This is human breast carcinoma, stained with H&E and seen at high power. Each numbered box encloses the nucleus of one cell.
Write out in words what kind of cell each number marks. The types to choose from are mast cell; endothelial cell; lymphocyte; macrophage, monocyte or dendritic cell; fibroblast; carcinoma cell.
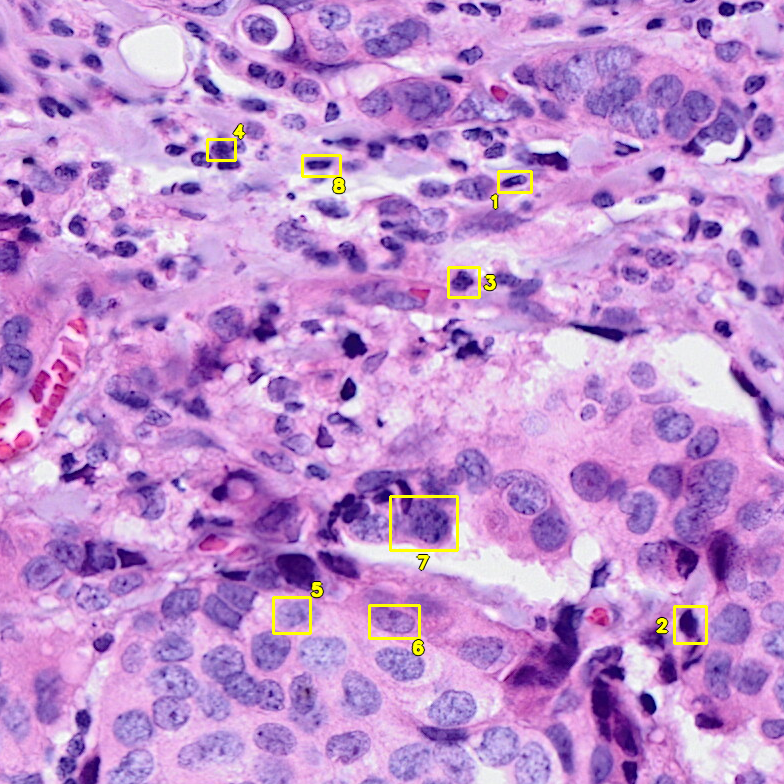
Cells 1, 3, 4 and 8 are lymphocytes. Cells 2, 5, 6 and 7 are carcinoma cells.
